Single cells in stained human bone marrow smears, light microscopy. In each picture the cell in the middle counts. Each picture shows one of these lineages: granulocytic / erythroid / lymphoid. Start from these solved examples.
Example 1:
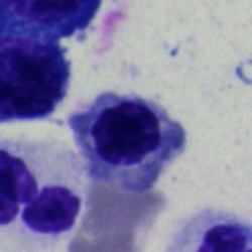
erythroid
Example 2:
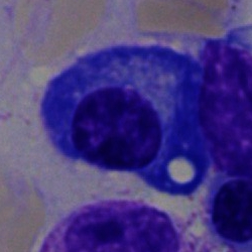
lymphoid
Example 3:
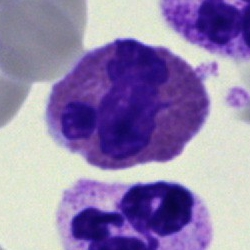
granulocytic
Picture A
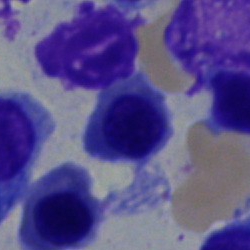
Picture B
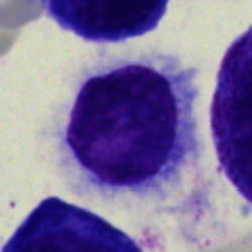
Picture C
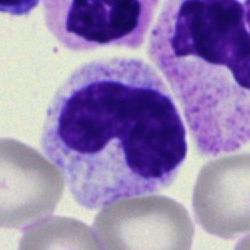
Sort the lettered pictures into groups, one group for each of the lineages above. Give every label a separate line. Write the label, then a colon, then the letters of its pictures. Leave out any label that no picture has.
granulocytic: C
erythroid: A
lymphoid: B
